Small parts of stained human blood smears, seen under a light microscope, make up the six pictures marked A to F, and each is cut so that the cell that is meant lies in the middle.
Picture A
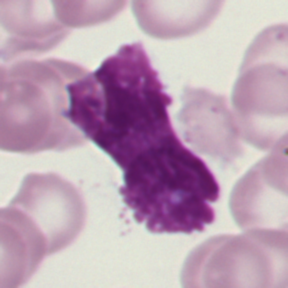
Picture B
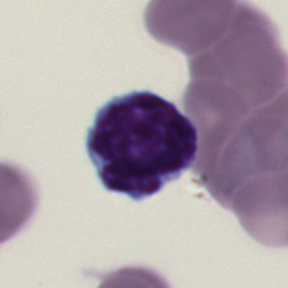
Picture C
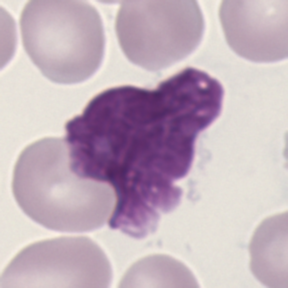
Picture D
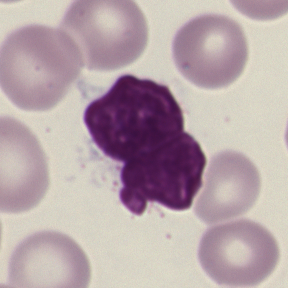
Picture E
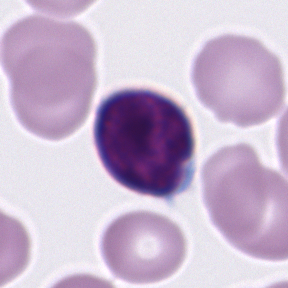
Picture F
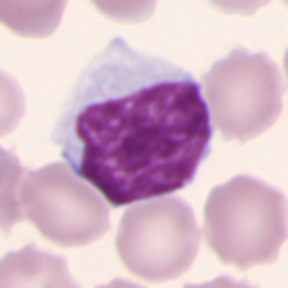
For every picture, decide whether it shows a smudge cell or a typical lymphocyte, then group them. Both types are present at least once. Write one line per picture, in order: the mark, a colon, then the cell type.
A: smudge cell
B: typical lymphocyte
C: smudge cell
D: smudge cell
E: typical lymphocyte
F: typical lymphocyte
